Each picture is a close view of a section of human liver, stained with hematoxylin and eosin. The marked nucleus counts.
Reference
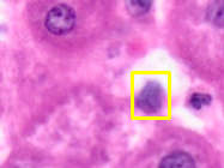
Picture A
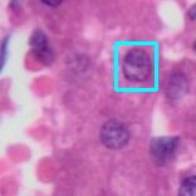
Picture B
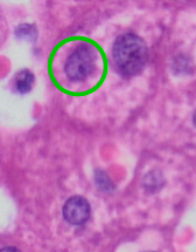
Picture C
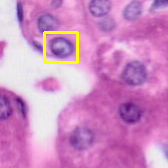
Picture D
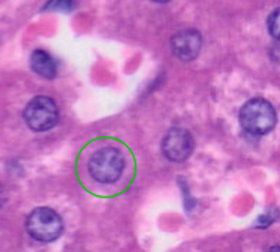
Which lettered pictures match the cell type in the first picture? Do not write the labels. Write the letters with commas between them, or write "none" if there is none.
none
